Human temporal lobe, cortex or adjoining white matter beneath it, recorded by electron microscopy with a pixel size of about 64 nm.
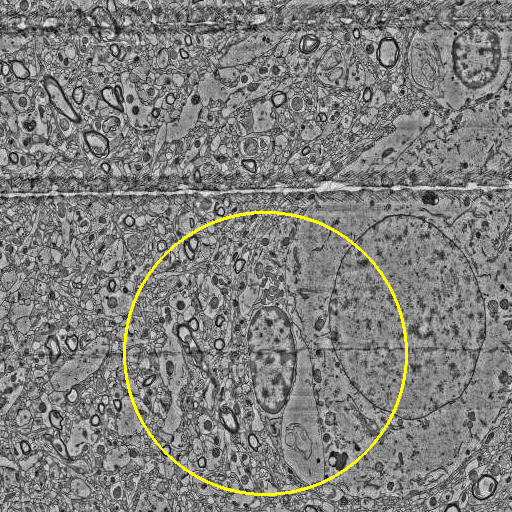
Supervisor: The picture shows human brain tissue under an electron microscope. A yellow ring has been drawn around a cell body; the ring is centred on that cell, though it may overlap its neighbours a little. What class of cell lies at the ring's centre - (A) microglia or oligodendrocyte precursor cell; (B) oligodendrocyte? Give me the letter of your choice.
A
